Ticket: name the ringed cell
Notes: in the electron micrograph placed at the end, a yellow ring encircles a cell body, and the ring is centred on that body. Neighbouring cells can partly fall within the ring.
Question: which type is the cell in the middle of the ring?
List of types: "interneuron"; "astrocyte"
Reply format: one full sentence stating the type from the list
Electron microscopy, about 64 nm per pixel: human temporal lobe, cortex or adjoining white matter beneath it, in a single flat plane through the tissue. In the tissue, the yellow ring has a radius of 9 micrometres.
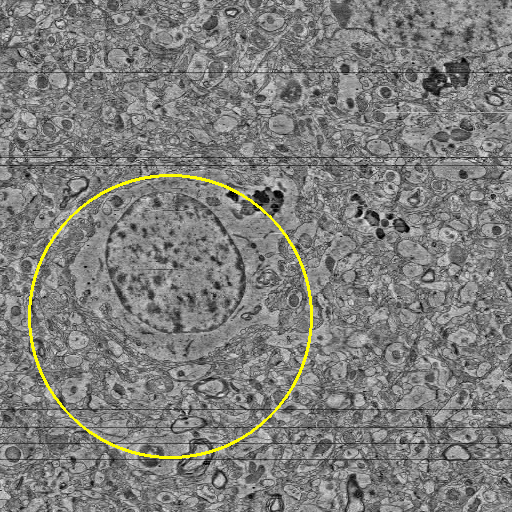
The cell sitting at the centre of the yellow ring is an astrocyte.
